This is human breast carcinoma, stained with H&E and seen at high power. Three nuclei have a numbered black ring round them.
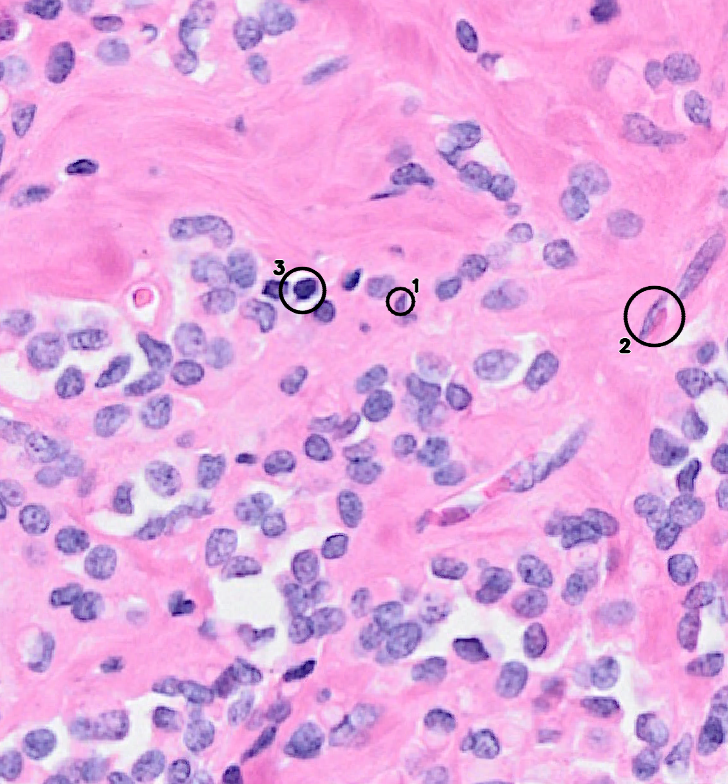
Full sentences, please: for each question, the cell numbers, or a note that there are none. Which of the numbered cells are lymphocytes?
In short, cell 3 is a lymphocyte; the others are not.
